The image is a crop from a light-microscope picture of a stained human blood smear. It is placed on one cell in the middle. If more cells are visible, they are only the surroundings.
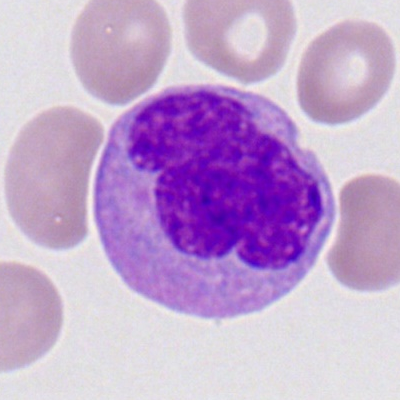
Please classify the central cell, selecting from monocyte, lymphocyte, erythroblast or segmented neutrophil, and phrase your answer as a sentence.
For this crop, the cell in the middle is a monocyte.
